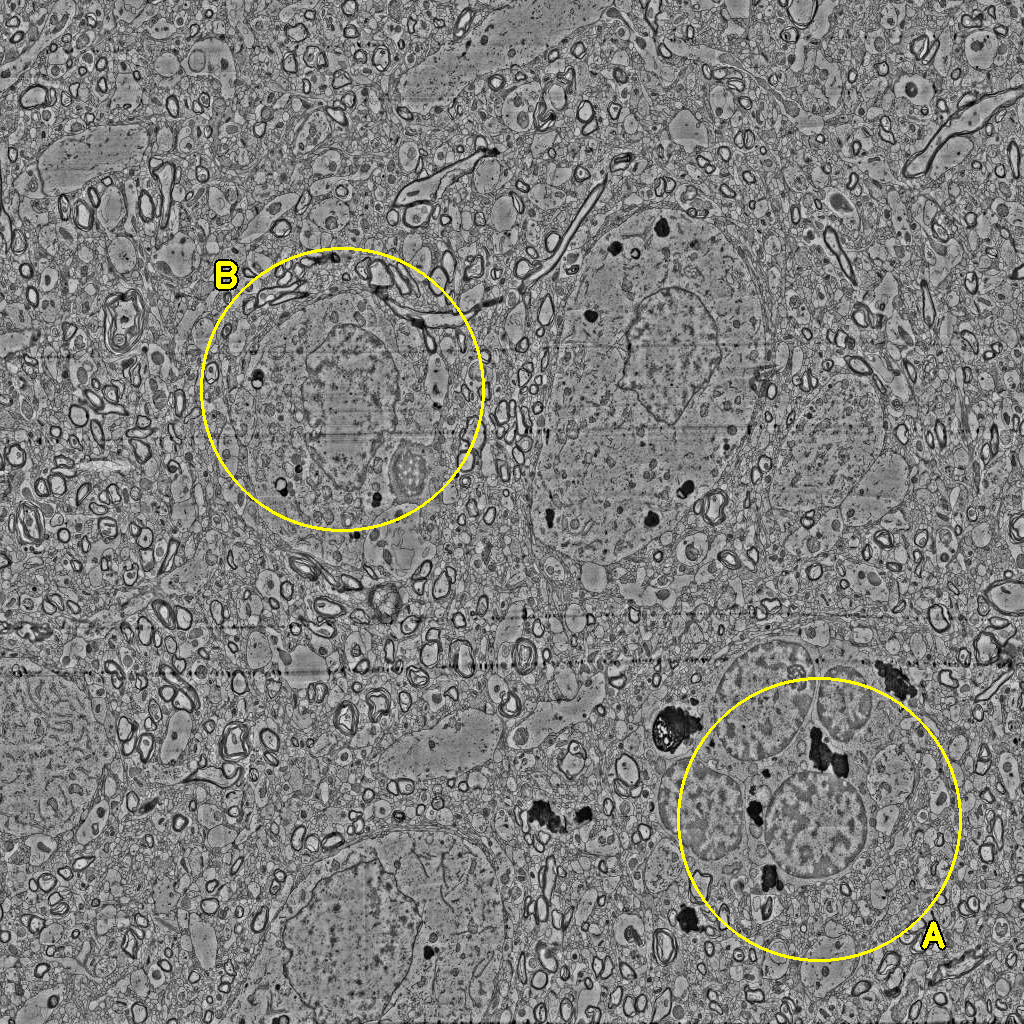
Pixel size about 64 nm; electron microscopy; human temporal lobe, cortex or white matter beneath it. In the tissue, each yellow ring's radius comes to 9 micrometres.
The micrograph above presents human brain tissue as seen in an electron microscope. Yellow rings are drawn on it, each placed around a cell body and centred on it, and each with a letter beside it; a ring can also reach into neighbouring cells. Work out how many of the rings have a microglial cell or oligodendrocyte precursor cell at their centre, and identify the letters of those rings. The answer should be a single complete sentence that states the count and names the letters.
The set of rings centred on a microglial cell or oligodendrocyte precursor cell is empty, so the count is zero.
